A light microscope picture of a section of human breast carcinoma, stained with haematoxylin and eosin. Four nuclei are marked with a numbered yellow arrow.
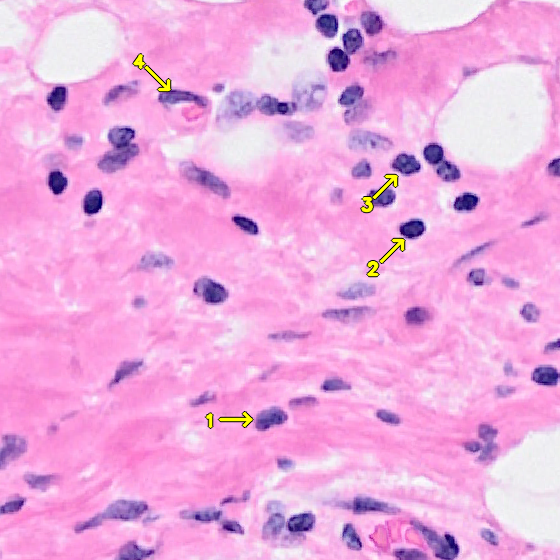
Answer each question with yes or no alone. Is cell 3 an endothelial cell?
no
